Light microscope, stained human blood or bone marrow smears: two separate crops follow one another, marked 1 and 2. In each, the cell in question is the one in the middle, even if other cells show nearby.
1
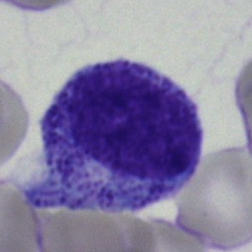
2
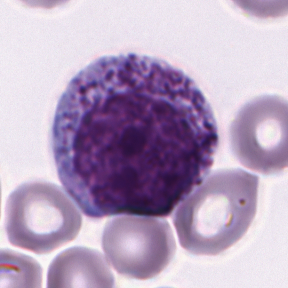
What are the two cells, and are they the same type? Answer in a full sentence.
Yes, the cells that both crops show at the centre are myelocytes.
